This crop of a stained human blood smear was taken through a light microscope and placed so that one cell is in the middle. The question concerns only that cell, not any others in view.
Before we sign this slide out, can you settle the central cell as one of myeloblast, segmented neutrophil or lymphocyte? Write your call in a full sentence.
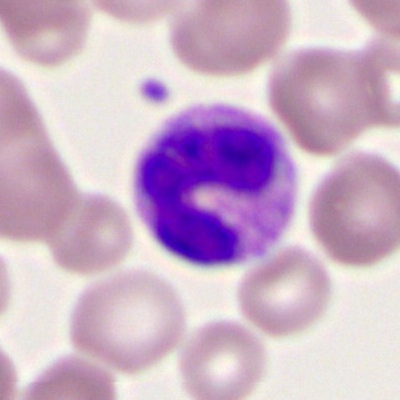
The centrally placed cell is classified as a segmented neutrophil.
